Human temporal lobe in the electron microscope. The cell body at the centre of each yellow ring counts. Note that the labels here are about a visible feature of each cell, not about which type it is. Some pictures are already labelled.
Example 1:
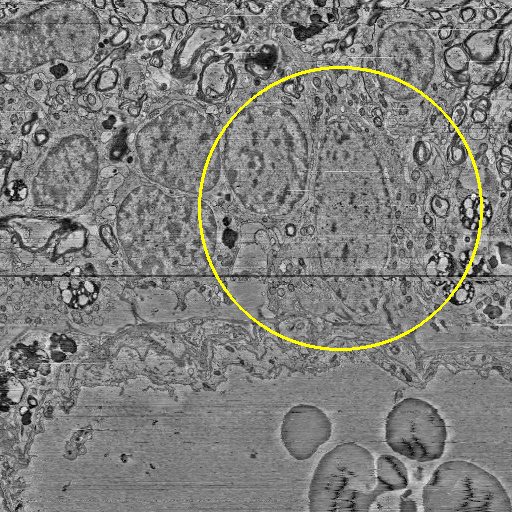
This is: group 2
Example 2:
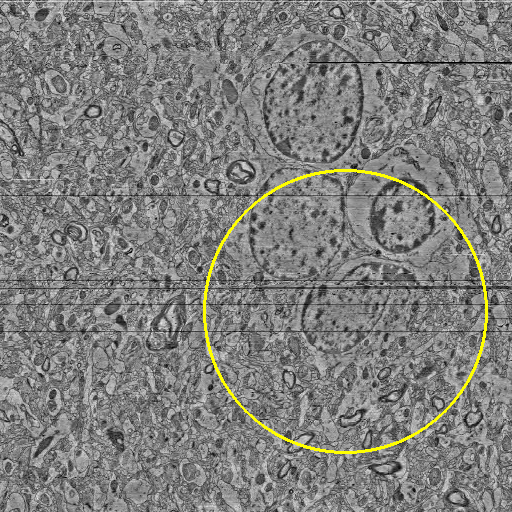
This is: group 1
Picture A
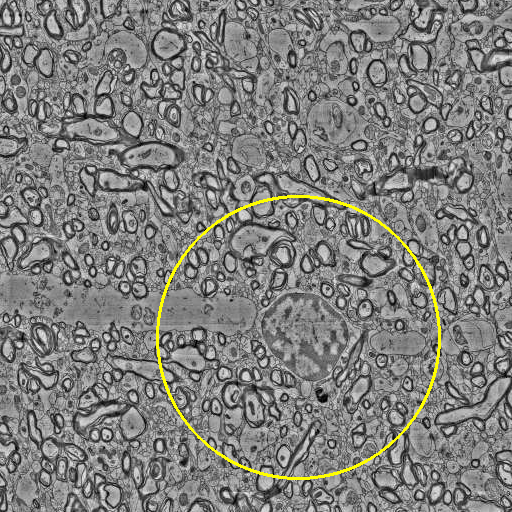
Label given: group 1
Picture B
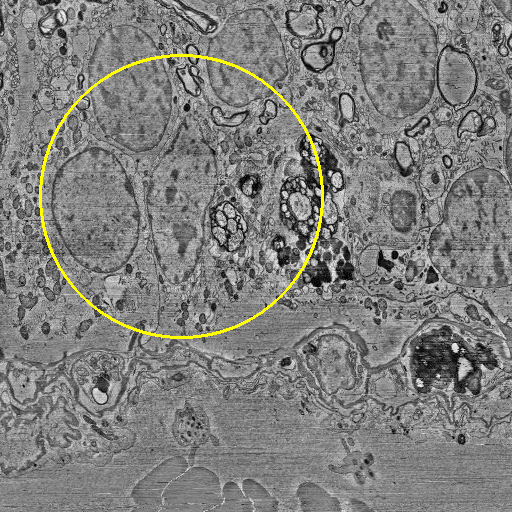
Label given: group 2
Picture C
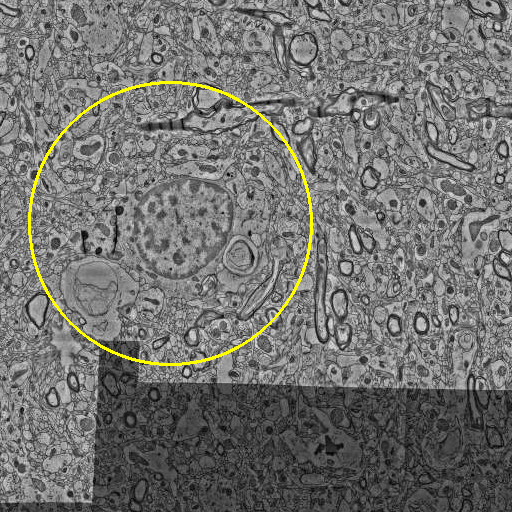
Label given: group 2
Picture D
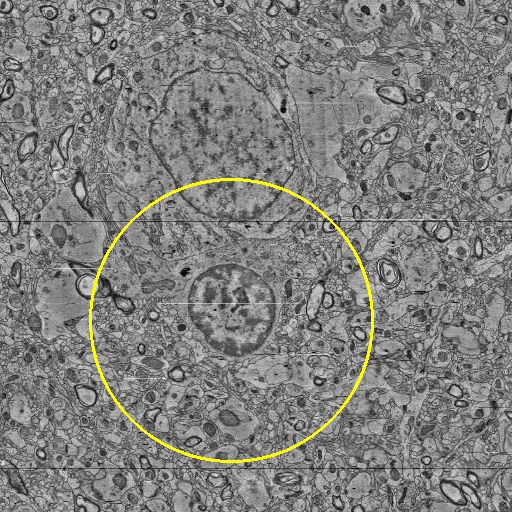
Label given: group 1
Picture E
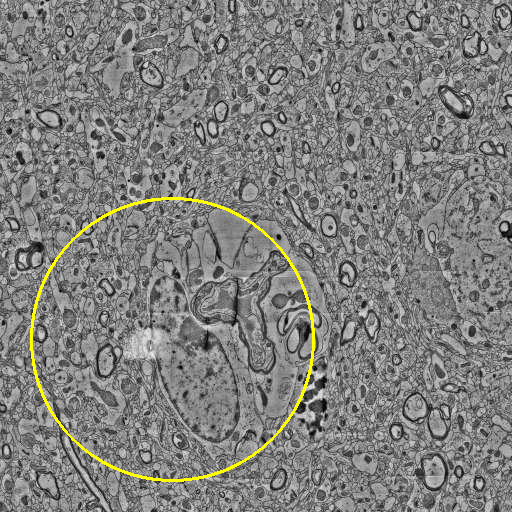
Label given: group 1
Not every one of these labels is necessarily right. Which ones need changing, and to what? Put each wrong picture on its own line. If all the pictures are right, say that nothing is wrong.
C: not group 2 but group 1
E: not group 1 but group 2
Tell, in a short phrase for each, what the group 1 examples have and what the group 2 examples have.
Seen in group 1: round or nearly round nuclei; seen in group 2: clearly elongated nuclei.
